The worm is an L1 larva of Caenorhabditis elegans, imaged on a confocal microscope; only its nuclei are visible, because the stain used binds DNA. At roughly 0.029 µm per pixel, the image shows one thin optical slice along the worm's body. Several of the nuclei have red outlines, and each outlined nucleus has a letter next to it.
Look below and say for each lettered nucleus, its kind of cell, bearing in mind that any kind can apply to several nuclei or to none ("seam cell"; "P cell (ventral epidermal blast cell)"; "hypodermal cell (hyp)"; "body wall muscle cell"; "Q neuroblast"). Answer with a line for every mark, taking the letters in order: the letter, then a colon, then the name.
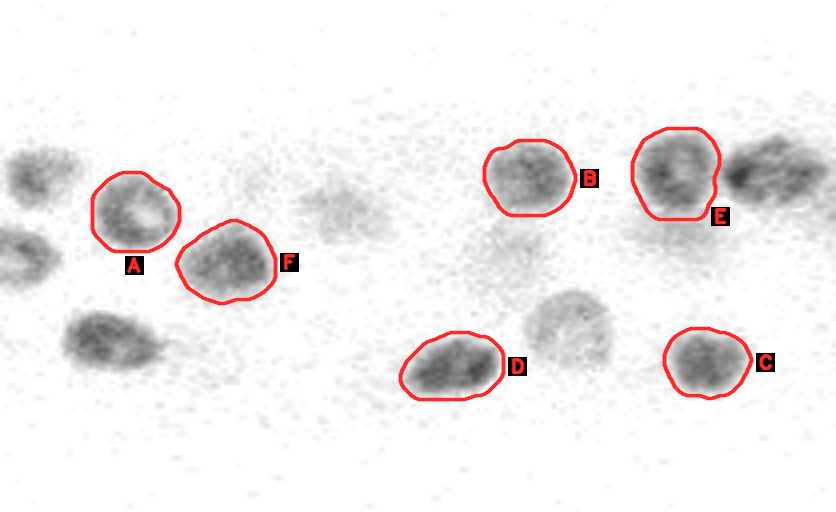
A: seam cell
B: P cell (ventral epidermal blast cell)
C: body wall muscle cell
D: body wall muscle cell
E: body wall muscle cell
F: Q neuroblast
